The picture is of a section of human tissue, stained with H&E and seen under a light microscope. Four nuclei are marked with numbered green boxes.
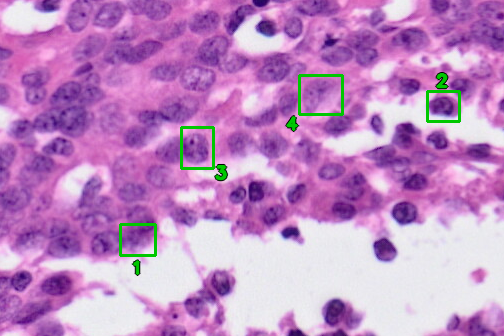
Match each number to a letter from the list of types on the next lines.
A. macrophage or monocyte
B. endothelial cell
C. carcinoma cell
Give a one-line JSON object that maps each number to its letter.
{"1": "C", "2": "C", "3": "A", "4": "C"}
